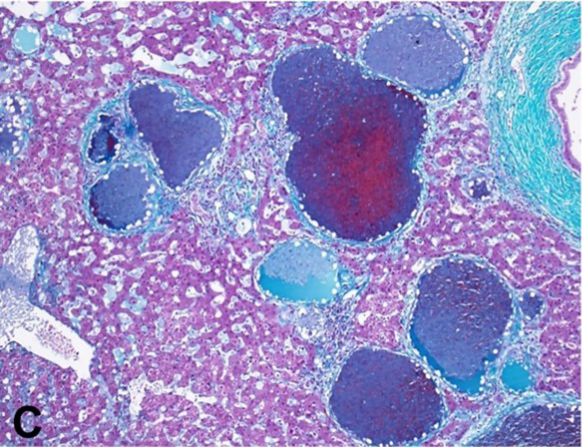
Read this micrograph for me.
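This is liver parenchyma with hepatocytes stained purple-pink surrounding a cluster of large dilated vascular channels. The channels are rounded to lobulated, filled with blue-purple to reddish contents, and each is rimmed by a thin blue-green band of connective tissue. Between the channels lies a small amount of fibrous stroma with scattered nuclei. At the upper right a thick-walled vessel with a blue-green stained wall lies beside the cluster.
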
